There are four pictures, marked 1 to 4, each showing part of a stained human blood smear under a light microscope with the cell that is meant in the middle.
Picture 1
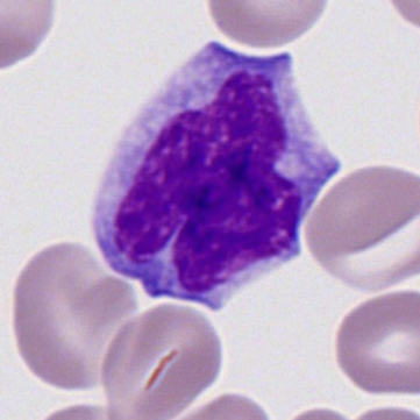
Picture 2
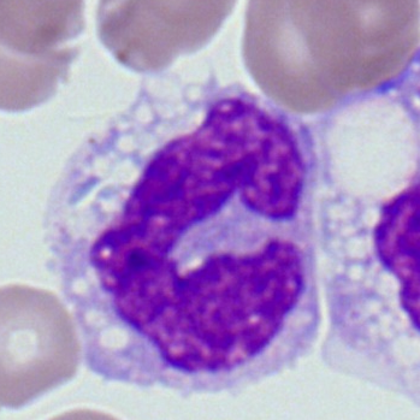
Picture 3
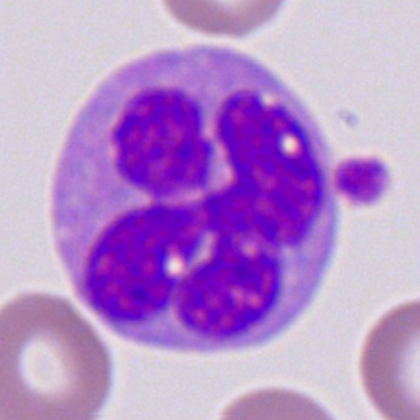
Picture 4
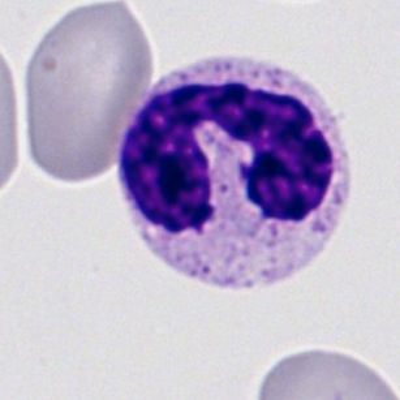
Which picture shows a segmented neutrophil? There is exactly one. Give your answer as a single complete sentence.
The cell in picture 4 is the segmented neutrophil.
